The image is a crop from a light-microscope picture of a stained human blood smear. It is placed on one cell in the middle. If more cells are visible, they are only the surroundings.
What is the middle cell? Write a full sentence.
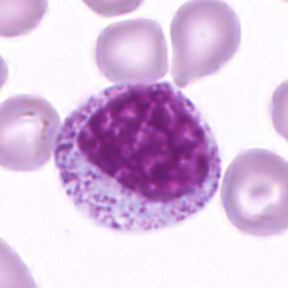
This crop's central cell is a metamyelocyte.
